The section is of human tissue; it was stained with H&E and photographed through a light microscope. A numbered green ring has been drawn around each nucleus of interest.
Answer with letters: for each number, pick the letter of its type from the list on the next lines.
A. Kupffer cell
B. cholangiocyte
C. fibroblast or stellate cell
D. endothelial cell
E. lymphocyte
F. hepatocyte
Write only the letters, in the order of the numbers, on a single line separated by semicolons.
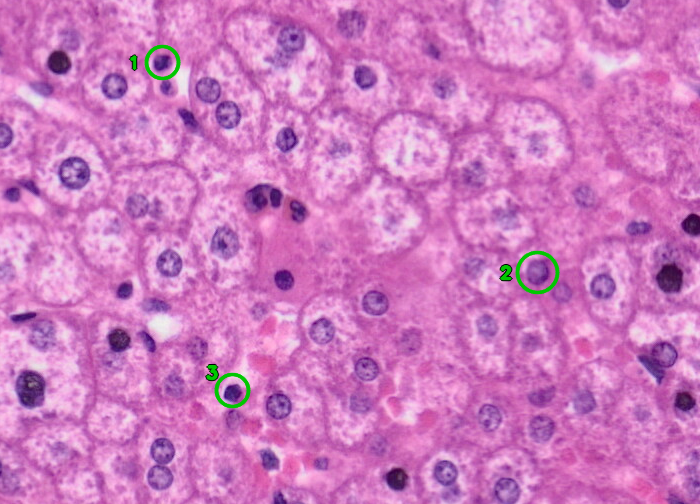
E; F; E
